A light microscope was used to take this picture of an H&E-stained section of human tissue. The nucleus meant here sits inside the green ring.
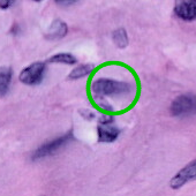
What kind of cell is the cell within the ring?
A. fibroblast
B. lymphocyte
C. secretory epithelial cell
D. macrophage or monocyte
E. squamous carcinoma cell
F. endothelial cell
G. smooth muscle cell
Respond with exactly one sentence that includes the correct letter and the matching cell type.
Option A is right in classifying the cell within the ring as a fibroblast.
